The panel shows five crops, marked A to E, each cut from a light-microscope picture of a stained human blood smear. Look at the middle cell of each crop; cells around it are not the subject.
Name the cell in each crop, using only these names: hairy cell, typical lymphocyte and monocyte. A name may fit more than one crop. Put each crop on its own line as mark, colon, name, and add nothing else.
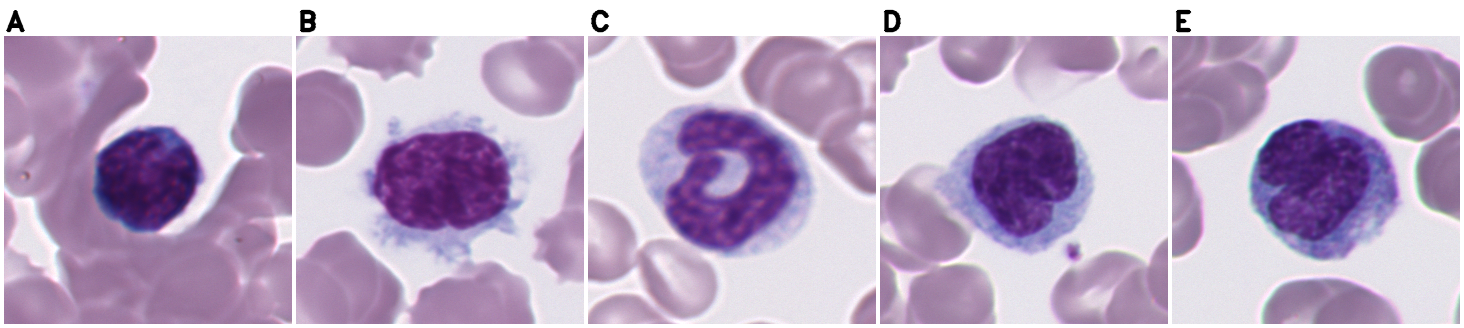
A: typical lymphocyte
B: hairy cell
C: monocyte
D: monocyte
E: monocyte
